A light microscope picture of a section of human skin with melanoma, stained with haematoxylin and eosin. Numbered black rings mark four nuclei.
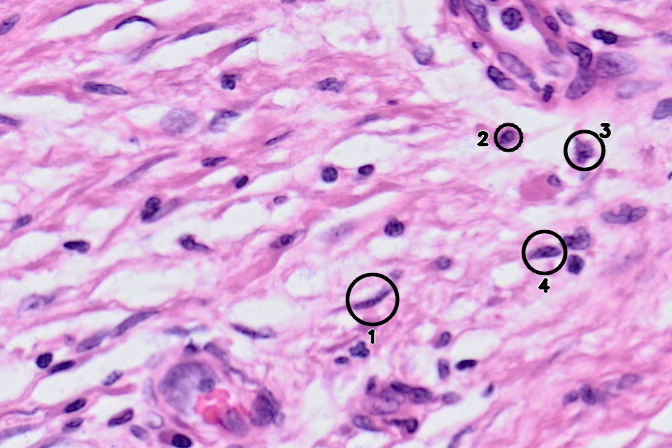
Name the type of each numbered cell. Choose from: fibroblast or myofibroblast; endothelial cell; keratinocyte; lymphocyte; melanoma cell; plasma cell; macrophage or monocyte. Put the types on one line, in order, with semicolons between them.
fibroblast or myofibroblast; macrophage or monocyte; macrophage or monocyte; macrophage or monocyte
